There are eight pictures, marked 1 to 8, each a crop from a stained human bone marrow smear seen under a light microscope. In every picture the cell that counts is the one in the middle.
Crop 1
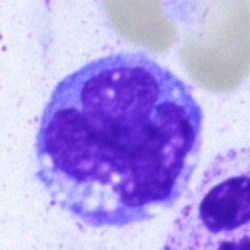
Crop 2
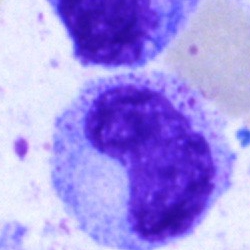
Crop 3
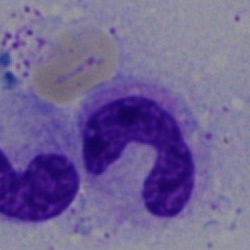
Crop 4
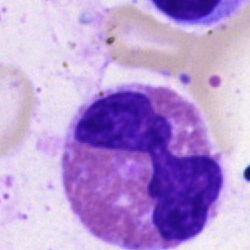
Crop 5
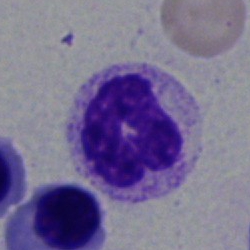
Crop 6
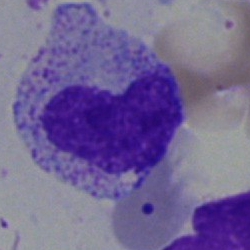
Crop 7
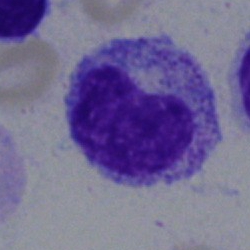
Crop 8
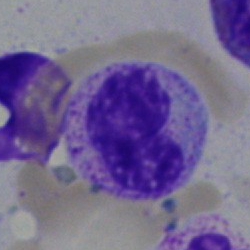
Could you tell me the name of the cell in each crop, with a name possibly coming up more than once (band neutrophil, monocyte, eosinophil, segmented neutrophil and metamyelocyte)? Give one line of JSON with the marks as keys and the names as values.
{"1": "monocyte", "2": "metamyelocyte", "3": "segmented neutrophil", "4": "eosinophil", "5": "band neutrophil", "6": "metamyelocyte", "7": "metamyelocyte", "8": "metamyelocyte"}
